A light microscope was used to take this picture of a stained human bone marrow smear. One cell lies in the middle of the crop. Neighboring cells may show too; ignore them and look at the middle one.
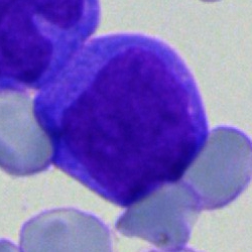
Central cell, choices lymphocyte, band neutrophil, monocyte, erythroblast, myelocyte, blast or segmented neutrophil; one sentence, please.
The cell centred in this crop is categorized as a blast.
